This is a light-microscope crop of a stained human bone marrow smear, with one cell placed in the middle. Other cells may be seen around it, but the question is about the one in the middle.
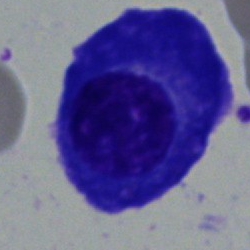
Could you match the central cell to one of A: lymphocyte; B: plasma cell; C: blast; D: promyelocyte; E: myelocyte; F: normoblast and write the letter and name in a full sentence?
The best answer is option B, since the cell in the middle is a plasma cell.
